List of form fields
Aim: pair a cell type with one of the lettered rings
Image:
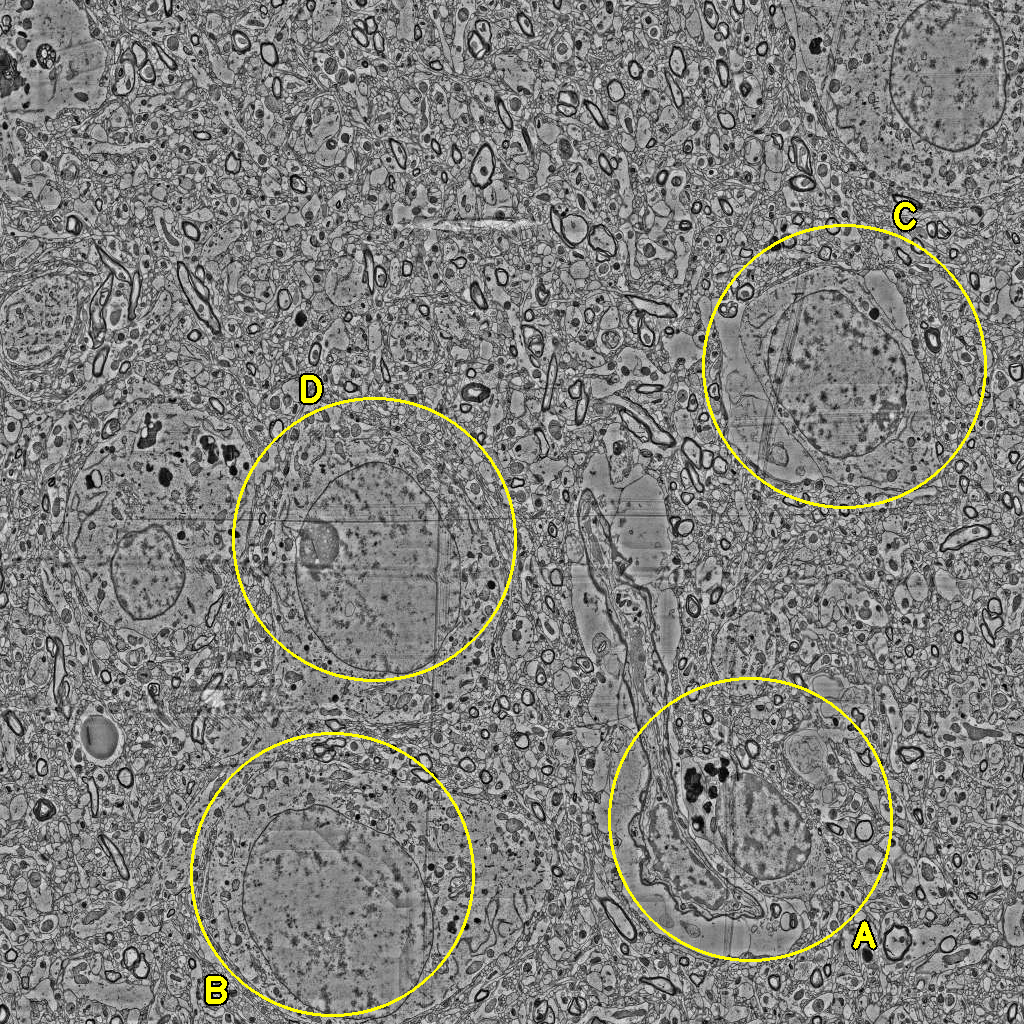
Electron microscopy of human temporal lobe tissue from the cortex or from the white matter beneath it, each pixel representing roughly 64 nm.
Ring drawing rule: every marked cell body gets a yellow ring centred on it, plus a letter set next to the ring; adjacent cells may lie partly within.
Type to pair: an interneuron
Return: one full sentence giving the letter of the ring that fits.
Ring C is the one whose central cell body is that kind of cell.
